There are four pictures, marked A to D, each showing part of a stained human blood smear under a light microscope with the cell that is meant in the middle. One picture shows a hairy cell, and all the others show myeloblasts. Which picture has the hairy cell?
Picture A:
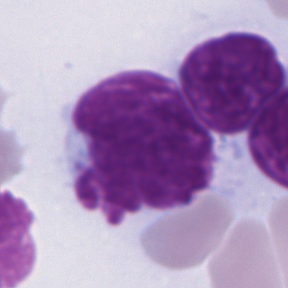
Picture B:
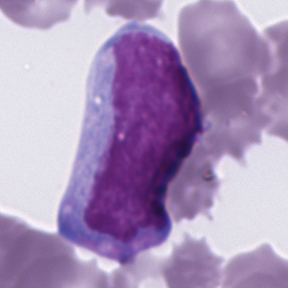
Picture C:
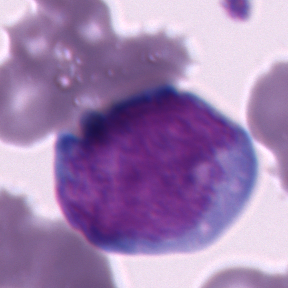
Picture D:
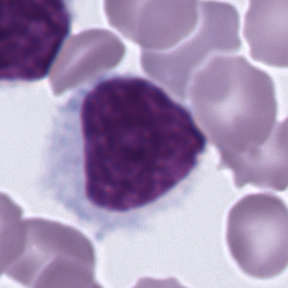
D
